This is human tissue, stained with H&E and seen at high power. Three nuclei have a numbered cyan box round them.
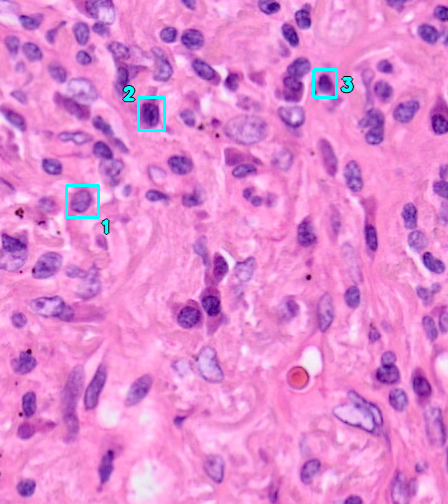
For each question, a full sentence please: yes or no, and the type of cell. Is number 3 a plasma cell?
Yes, it is a plasma cell that carries the number 3.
